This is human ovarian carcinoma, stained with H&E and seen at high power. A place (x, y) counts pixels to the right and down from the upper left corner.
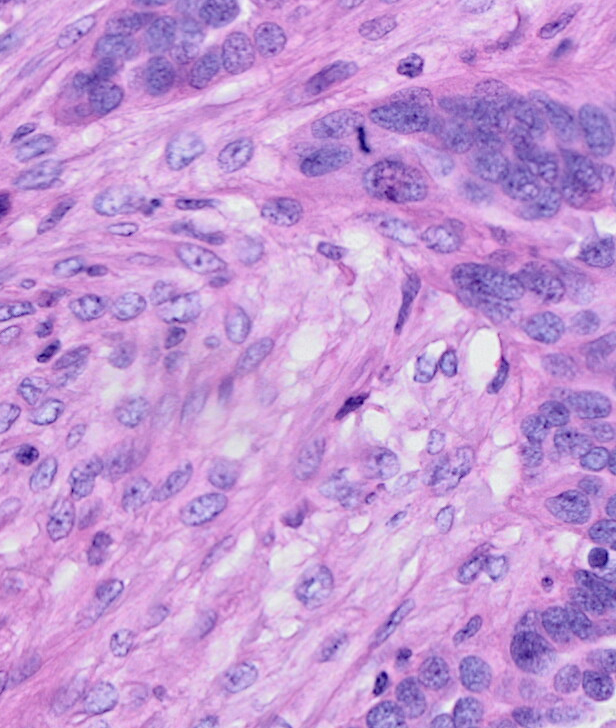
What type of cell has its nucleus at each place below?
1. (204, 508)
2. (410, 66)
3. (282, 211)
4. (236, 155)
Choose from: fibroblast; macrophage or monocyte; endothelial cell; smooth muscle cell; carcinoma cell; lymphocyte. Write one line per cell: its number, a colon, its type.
1: fibroblast
2: lymphocyte
3: fibroblast
4: fibroblast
